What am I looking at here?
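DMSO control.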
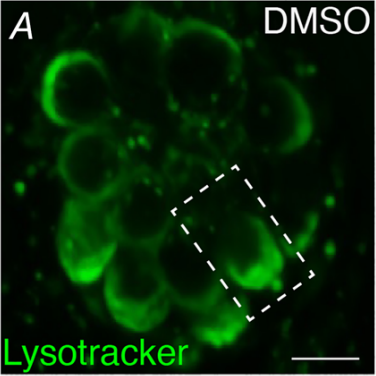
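A neuromast is seen from above as a rosette of pear-shaped hair cells packed around a centre. Each cell shows a dark, round, unlabelled nucleus surrounded by green cytoplasmic label. The green signal is not even: it is brightest in crescents at the outer, basal end of the cells, below the nuclei, whereas the narrower end of each cell is dimmer. A dashed box marks a single hair cell. Small bright green puncta are scattered between and around the cells.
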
